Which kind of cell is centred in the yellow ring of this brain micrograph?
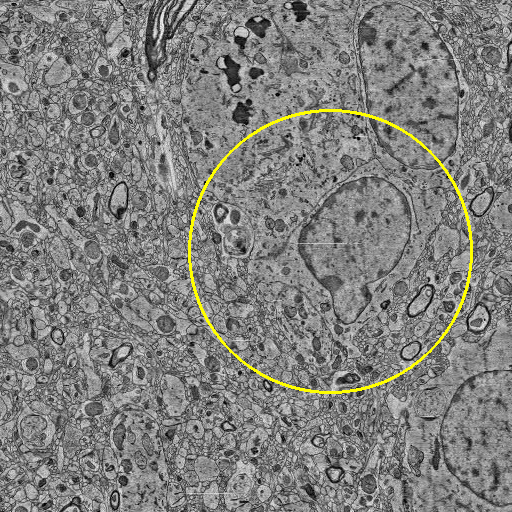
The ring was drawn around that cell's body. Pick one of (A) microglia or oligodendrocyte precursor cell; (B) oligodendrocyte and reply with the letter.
A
